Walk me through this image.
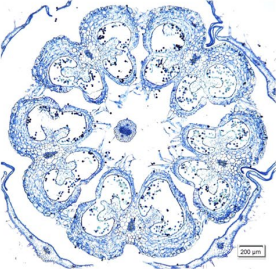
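This transverse section through a flower shows a ring of anthers arranged around a small round central structure. Each anther is lobed, and within the lobes lie pollen sacs whose cavities hold many small, darkly stained grains scattered along the walls. The anther walls are built of several layers of pale blue, rounded parenchyma-like cells, with small denser strands of vascular tissue running through the middle of each anther. Thin, folded layers of floral organs enclose the whole ring on the outside.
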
